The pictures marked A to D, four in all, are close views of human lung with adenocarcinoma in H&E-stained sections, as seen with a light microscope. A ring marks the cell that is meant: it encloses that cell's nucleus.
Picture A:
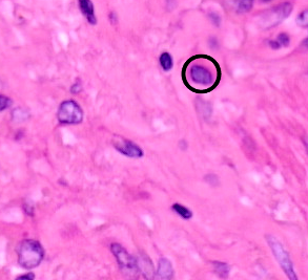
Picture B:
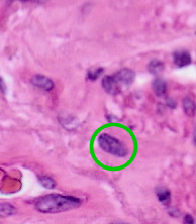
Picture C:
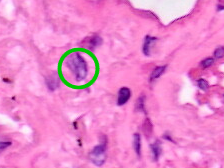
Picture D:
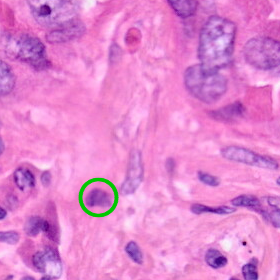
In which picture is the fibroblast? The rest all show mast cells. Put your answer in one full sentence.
Picture C is the one that shows the fibroblast.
